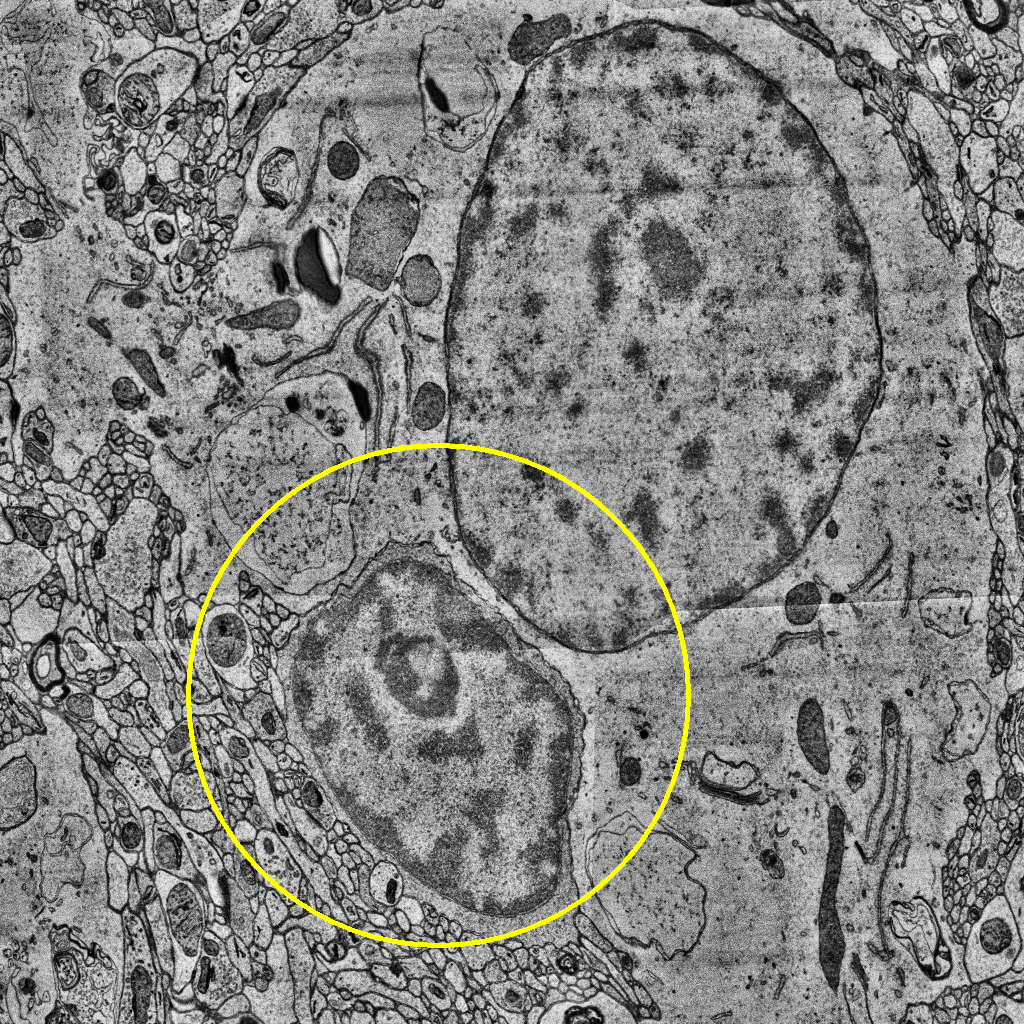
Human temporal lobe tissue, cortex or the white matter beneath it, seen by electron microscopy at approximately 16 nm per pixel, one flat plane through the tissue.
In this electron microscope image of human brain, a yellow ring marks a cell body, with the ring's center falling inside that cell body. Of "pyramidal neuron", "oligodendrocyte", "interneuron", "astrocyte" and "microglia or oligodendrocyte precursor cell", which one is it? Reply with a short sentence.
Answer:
It is an oligodendrocyte at the center of the ring.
